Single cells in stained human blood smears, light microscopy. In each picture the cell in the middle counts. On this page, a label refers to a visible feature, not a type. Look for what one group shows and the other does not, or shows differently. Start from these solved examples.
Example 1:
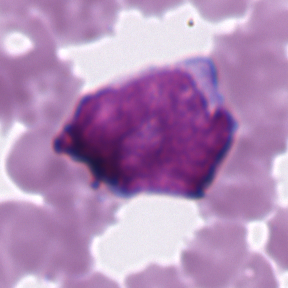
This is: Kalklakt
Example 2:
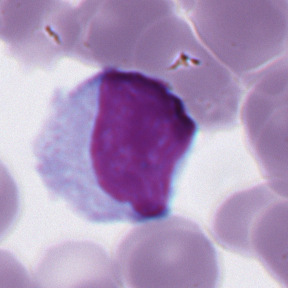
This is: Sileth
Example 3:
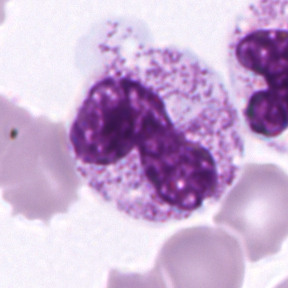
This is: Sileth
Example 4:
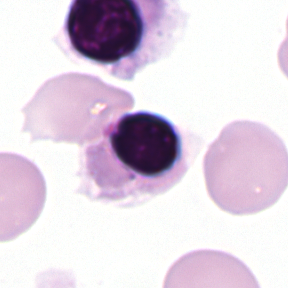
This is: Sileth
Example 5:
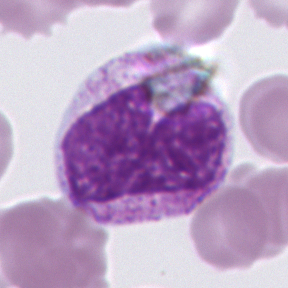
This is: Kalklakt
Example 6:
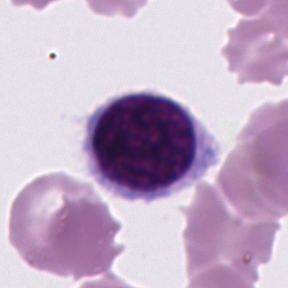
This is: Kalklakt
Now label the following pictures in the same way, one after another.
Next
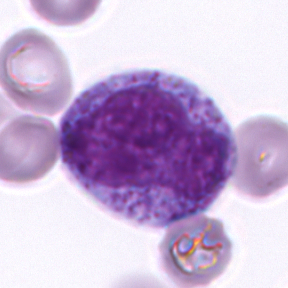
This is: Kalklakt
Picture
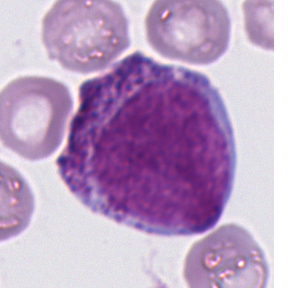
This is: Kalklakt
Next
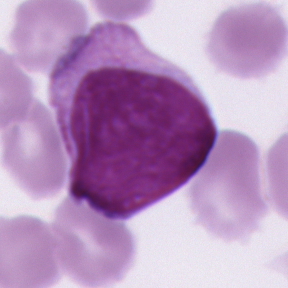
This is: Sileth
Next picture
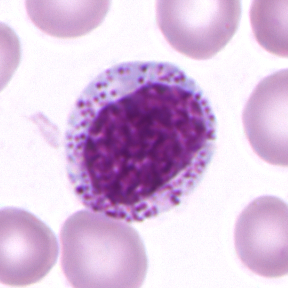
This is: Kalklakt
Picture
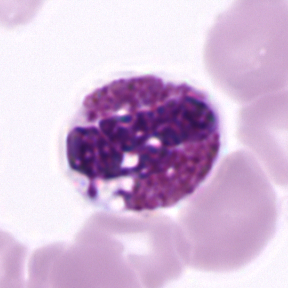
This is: Kalklakt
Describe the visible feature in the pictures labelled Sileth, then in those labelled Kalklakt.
Seen in Sileth: abundant cytoplasm; seen in Kalklakt: scant cytoplasm.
